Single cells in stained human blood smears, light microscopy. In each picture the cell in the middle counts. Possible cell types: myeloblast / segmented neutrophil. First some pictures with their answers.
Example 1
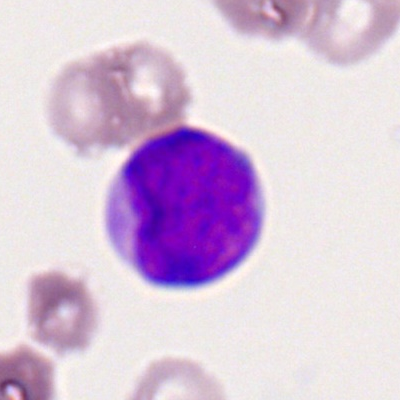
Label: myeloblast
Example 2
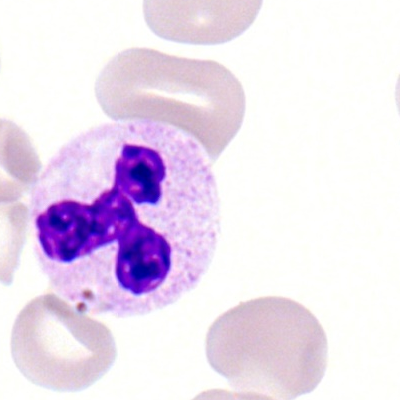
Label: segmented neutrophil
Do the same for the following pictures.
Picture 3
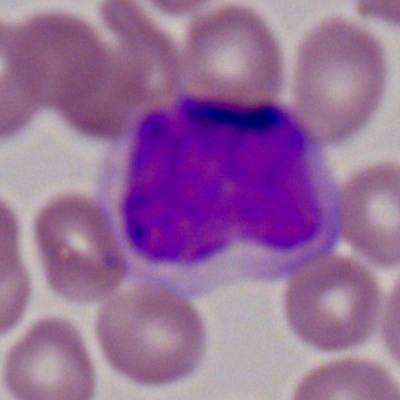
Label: myeloblast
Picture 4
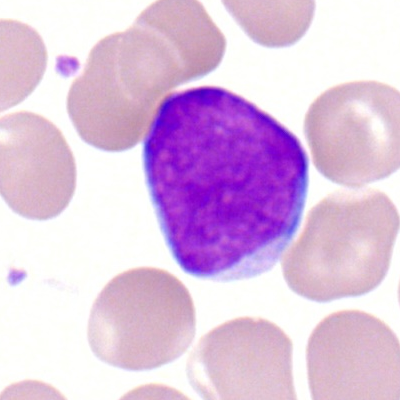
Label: myeloblast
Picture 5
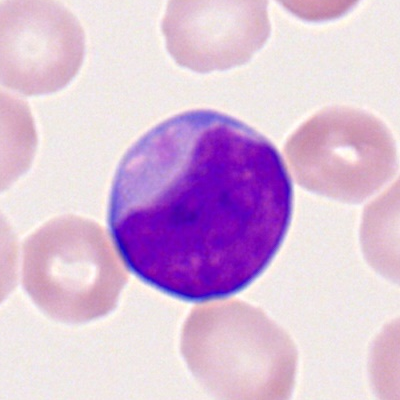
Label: myeloblast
